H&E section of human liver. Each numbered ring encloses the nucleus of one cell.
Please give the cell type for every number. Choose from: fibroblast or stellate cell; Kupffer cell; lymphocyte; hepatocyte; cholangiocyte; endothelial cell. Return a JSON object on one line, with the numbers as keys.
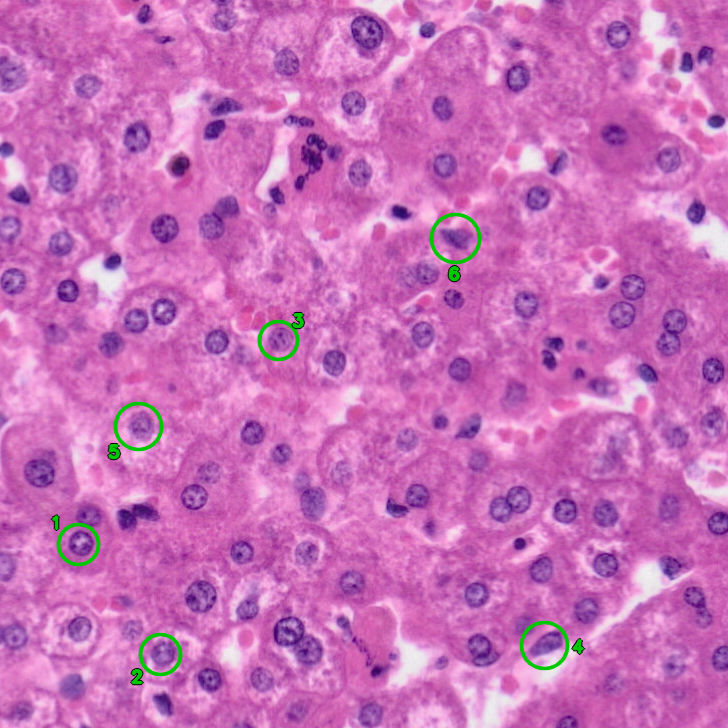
{"1": "hepatocyte", "2": "hepatocyte", "3": "hepatocyte", "4": "Kupffer cell", "5": "hepatocyte", "6": "endothelial cell"}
